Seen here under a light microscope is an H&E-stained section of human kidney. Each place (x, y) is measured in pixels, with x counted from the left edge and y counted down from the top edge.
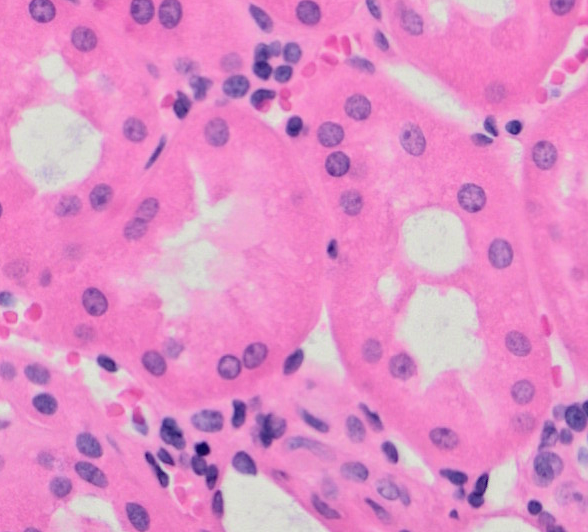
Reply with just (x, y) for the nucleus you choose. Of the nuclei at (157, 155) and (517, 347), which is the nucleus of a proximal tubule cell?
(517, 347)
